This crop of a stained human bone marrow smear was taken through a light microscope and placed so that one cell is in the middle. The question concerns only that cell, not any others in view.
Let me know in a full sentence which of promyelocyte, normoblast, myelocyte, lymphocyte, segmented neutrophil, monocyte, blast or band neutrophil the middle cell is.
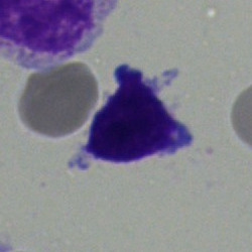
The cell marked by its central position in the crop is a lymphocyte.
